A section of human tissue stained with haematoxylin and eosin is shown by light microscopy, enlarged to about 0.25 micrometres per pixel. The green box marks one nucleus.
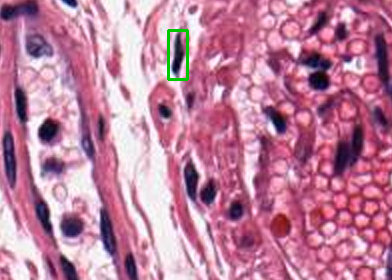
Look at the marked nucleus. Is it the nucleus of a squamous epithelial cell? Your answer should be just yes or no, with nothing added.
no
